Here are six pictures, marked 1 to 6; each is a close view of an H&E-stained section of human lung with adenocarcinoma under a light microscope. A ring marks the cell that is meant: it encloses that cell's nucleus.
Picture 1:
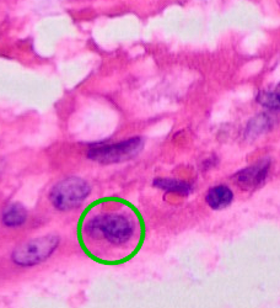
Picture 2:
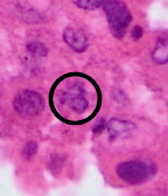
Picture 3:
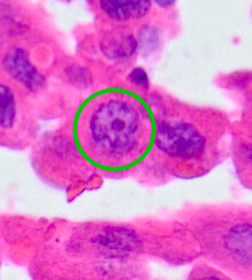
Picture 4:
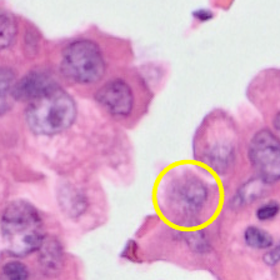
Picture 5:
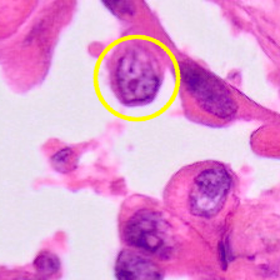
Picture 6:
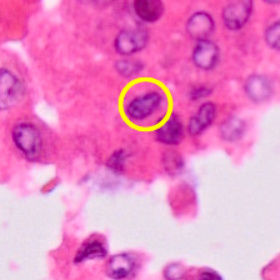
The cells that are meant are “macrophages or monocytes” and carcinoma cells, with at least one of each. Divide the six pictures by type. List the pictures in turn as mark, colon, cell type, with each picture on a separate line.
1: macrophage or monocyte
2: macrophage or monocyte
3: carcinoma cell
4: carcinoma cell
5: carcinoma cell
6: macrophage or monocyte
